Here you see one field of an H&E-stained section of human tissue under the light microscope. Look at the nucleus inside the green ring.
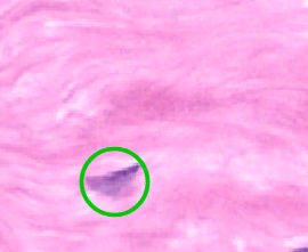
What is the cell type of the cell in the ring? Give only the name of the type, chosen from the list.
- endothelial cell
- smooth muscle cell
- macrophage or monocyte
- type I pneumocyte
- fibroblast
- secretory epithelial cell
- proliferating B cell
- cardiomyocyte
fibroblast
